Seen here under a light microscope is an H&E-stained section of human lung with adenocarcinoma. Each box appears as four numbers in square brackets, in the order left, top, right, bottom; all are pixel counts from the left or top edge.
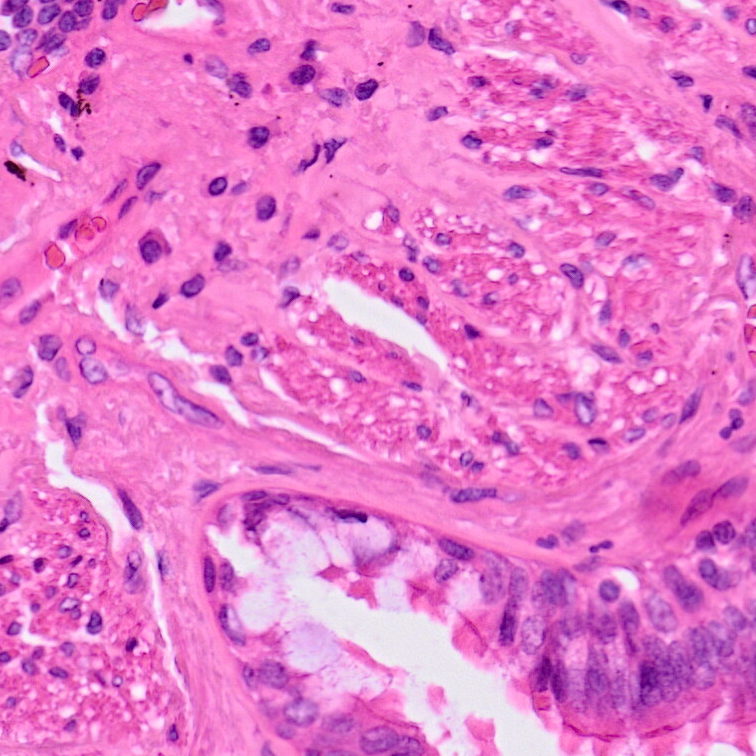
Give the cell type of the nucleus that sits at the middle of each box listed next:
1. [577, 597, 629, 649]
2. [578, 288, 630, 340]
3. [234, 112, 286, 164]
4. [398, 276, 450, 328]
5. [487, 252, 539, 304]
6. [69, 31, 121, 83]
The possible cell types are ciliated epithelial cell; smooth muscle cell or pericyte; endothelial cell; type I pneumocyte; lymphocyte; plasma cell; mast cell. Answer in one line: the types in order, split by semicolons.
ciliated epithelial cell; smooth muscle cell or pericyte; plasma cell; smooth muscle cell or pericyte; smooth muscle cell or pericyte; lymphocyte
